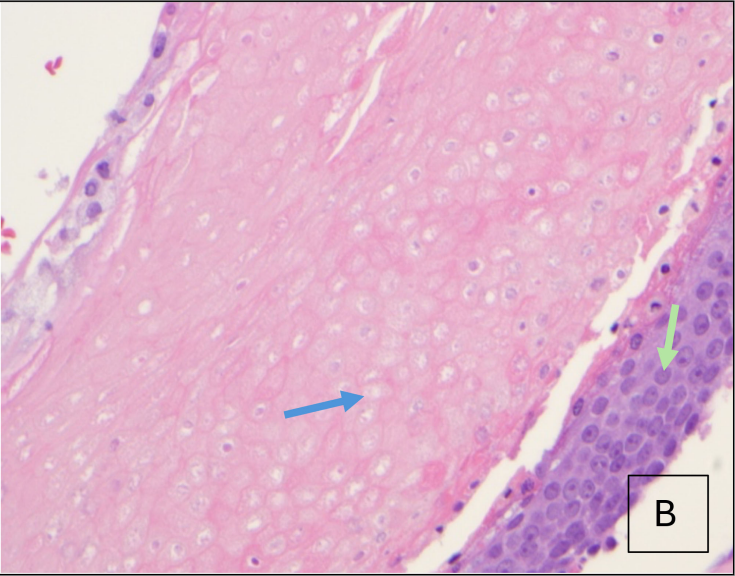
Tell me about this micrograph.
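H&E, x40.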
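Basaloid cells beside a broad sheet of eosinophilic anucleated ghost cells. Across a thin cleft lies a wide field of pale pink, polygonal cells with crisp borders. In place of nuclei, most show central clear spaces, with only a few scattered dark nuclear remnants. The ghost cells are packed in a sheet with fine cracks running through it. A thin strip of flattened cells borders the opposite edge.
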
